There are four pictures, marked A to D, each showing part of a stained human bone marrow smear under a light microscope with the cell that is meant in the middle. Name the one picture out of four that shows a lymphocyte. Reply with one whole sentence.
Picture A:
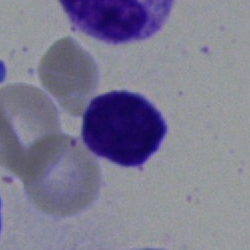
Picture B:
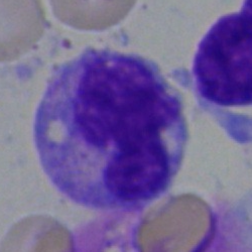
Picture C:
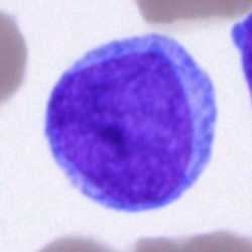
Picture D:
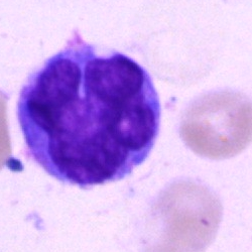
Picture A shows the lymphocyte.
